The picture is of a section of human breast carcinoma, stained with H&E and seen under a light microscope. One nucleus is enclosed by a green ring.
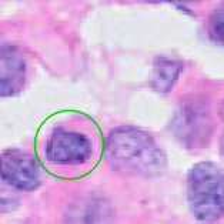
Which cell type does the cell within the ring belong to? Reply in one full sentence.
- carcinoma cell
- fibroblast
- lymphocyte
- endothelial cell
Students should answer that the cell within the ring is a carcinoma cell.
